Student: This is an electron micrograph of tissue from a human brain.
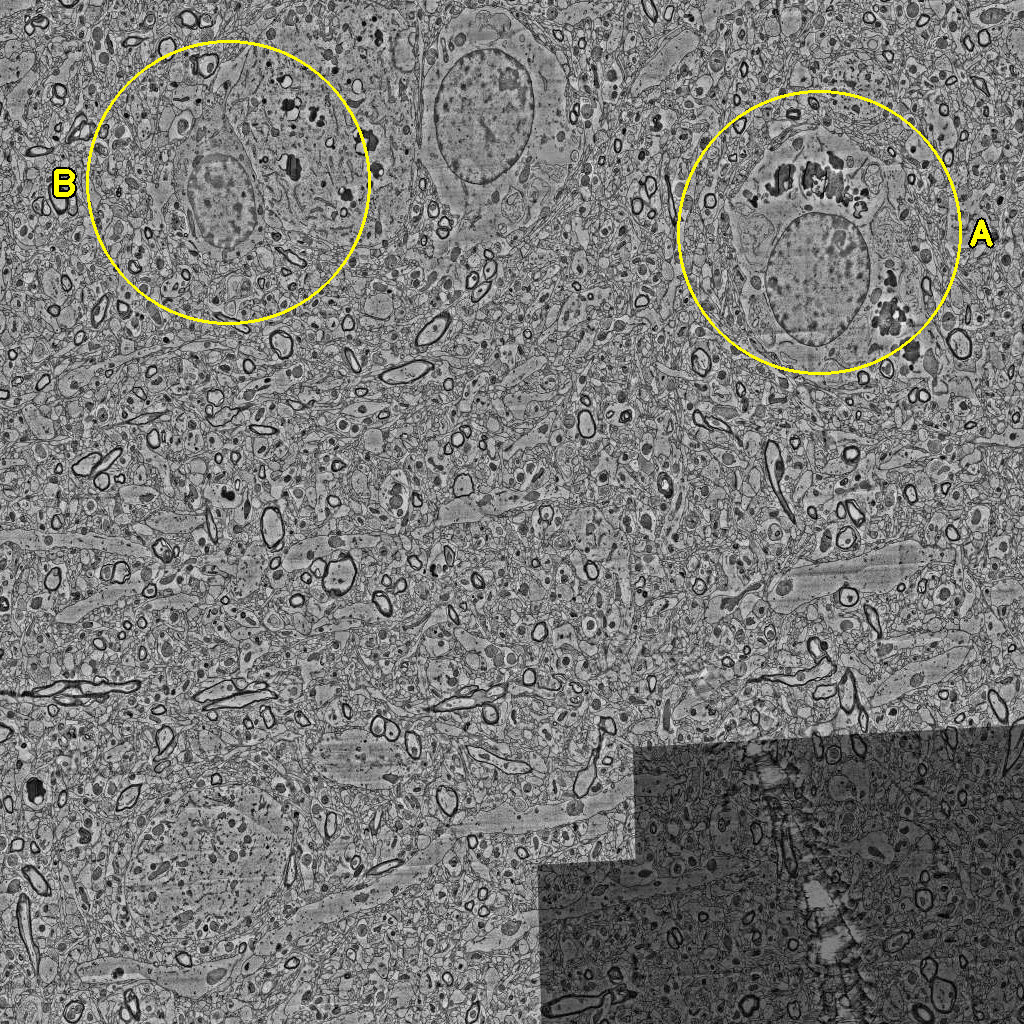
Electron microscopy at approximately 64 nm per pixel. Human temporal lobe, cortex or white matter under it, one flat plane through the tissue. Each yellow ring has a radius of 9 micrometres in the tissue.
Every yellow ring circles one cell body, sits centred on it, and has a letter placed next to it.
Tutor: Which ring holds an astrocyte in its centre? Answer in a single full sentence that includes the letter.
Ring A is the ring whose centre holds the cell asked for in the picture.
